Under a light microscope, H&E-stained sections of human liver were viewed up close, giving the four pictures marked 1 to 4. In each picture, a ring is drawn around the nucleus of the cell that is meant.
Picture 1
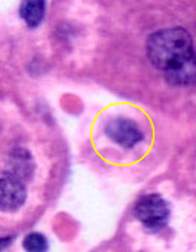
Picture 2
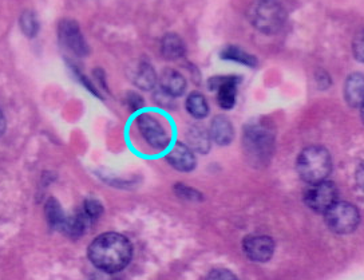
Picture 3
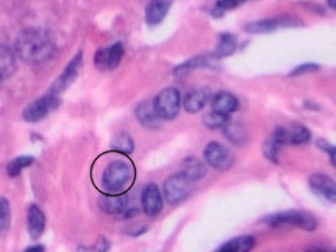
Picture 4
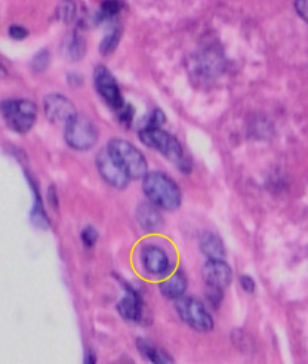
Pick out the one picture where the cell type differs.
1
